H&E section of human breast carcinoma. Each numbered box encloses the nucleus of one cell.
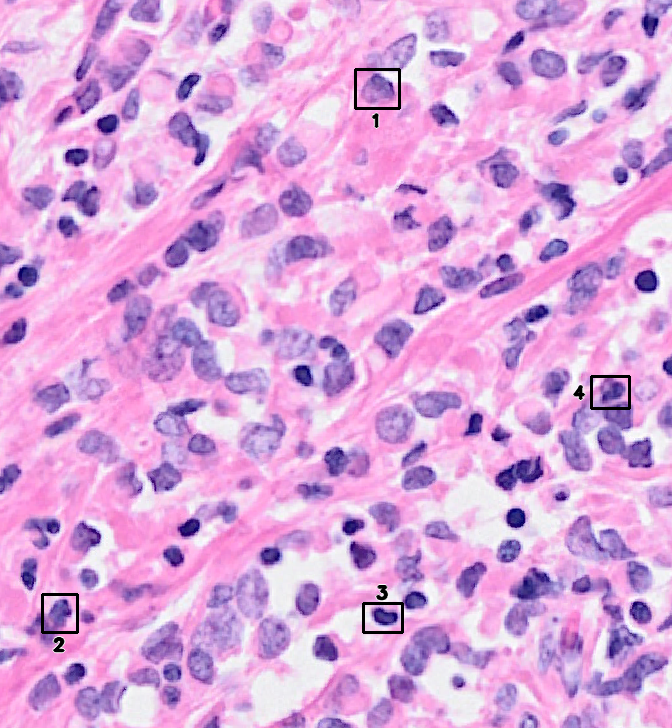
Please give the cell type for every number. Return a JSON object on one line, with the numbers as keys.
{"1": "carcinoma cell", "2": "lymphocyte", "3": "lymphocyte", "4": "lymphocyte"}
